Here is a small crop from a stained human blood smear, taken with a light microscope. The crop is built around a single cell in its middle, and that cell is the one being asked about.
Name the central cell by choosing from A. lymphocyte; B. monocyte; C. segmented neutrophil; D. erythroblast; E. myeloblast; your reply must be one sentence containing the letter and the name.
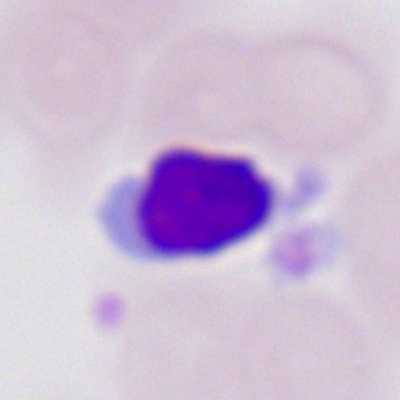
The expected answer is option A, the central cell being a lymphocyte.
